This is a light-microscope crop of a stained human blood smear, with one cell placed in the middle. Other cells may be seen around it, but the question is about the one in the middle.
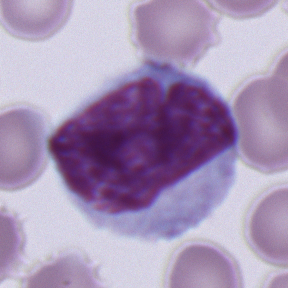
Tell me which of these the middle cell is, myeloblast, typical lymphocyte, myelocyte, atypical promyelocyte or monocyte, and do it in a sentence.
Occupying the centre of the crop is a monocyte.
